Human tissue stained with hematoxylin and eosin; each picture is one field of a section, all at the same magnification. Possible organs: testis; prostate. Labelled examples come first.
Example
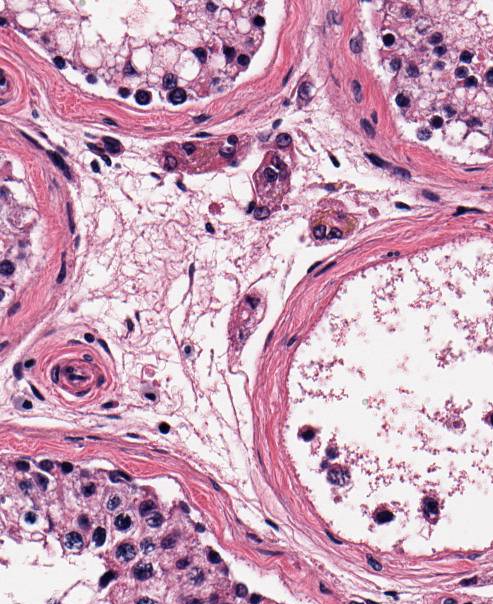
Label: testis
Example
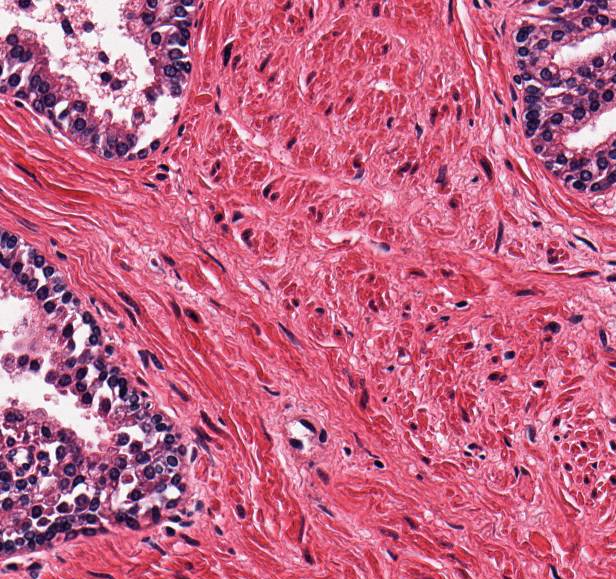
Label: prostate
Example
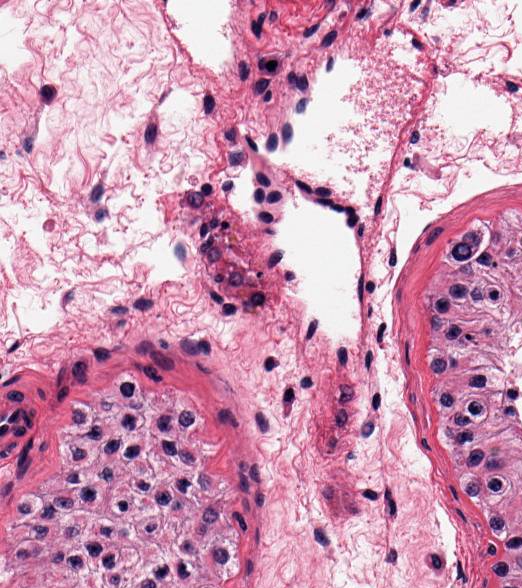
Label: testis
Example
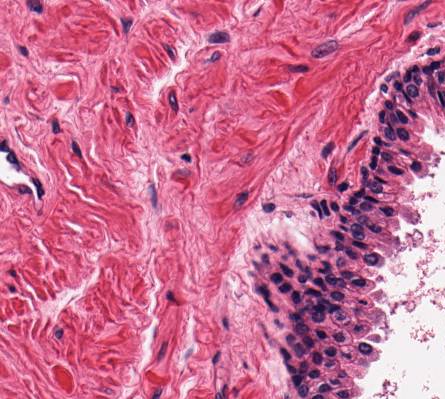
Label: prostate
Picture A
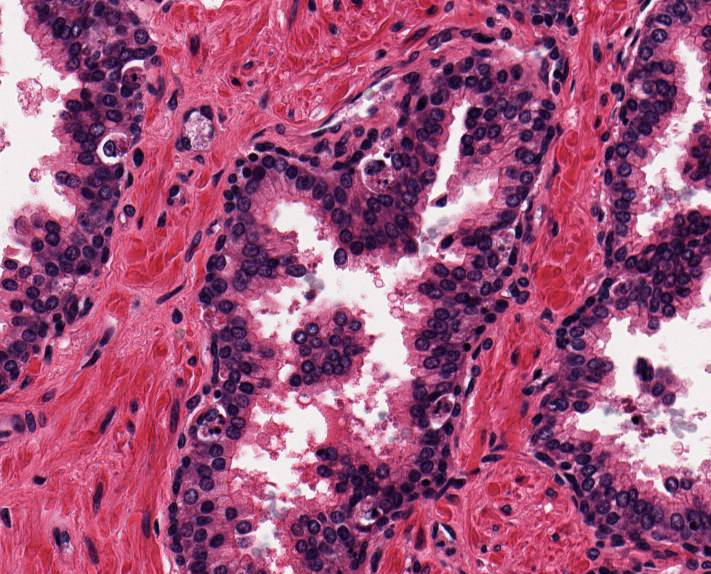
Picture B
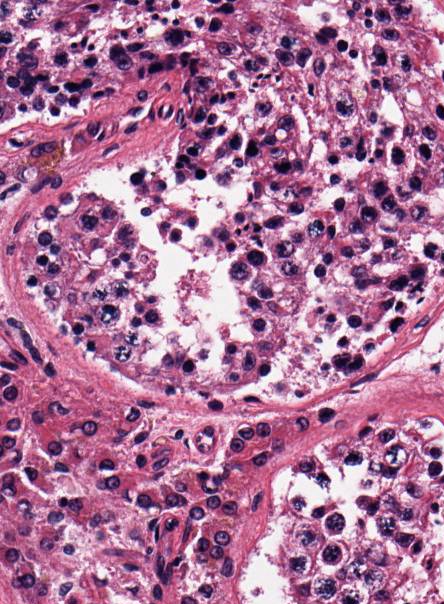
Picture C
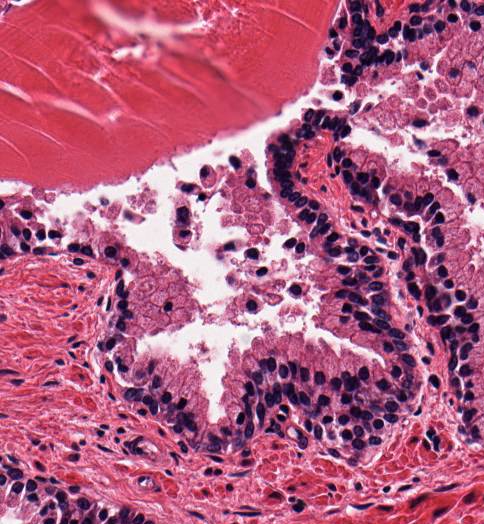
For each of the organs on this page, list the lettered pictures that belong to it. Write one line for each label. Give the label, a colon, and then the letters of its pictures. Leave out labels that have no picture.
testis: B
prostate: A, C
